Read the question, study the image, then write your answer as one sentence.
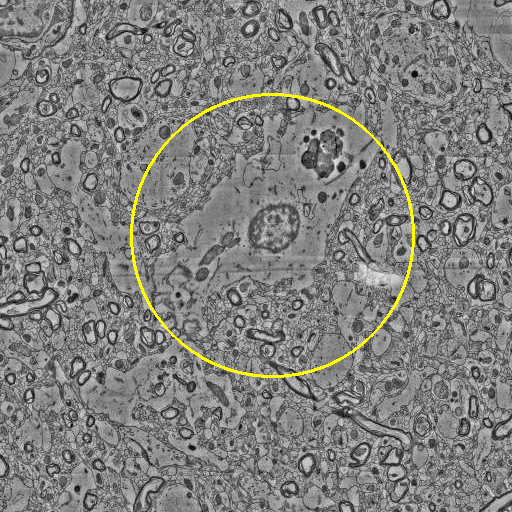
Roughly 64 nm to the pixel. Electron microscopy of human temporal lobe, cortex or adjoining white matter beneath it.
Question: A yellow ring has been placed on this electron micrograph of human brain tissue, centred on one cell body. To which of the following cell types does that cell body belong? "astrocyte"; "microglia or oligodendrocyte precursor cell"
That cell body belongs to an astrocyte.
